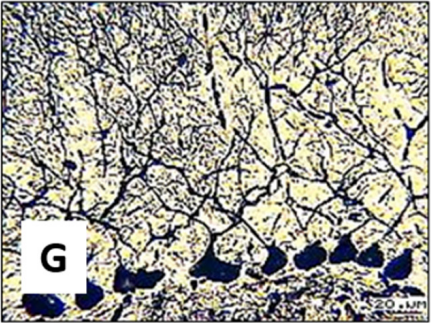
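This is the molecular layer of the cerebellar cortex with a row of large, dark, flask-shaped neuron bodies along its lower edge. From these bodies, thick dark apical dendrites rise and branch repeatedly into a tree of finer processes that spread through the pale layer above.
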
